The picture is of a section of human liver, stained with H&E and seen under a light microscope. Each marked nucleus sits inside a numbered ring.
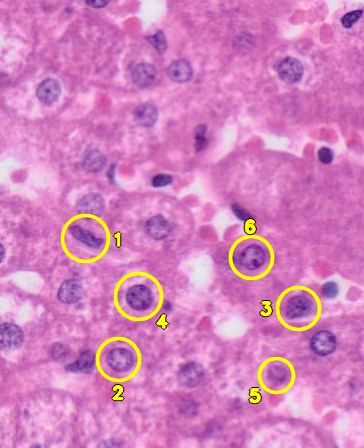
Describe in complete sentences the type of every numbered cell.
Cell 1 is a Kupffer cell, cell 2 is a hepatocyte, cell 3 is a Kupffer cell, cell 4 is a hepatocyte, cell 5 is a hepatocyte and cell 6 is a hepatocyte.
